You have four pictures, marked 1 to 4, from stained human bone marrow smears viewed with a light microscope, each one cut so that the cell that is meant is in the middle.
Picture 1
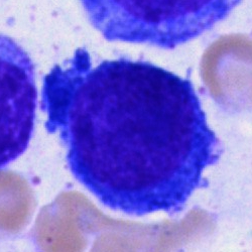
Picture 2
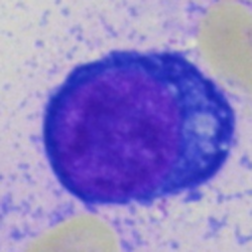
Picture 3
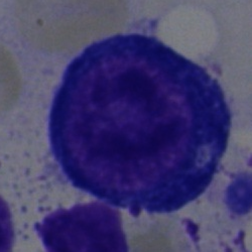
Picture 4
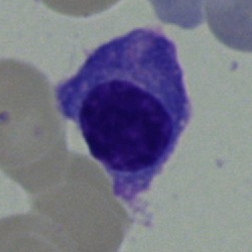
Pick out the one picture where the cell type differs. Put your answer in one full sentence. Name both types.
All pictures except 4 show proerythroblasts; picture 4 shows a plasma cell.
